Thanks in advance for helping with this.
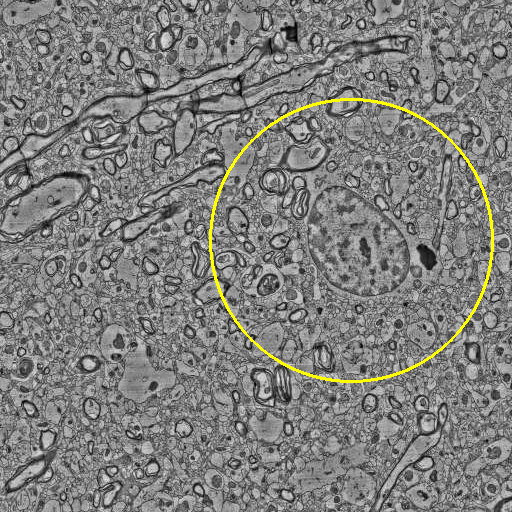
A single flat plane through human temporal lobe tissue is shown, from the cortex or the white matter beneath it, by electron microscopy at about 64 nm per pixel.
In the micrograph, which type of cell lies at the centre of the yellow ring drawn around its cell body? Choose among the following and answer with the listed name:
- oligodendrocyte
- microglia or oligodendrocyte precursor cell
oligodendrocyte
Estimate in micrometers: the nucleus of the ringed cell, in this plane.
In this plane the nucleus spans approximately 8 by 6 micrometers.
